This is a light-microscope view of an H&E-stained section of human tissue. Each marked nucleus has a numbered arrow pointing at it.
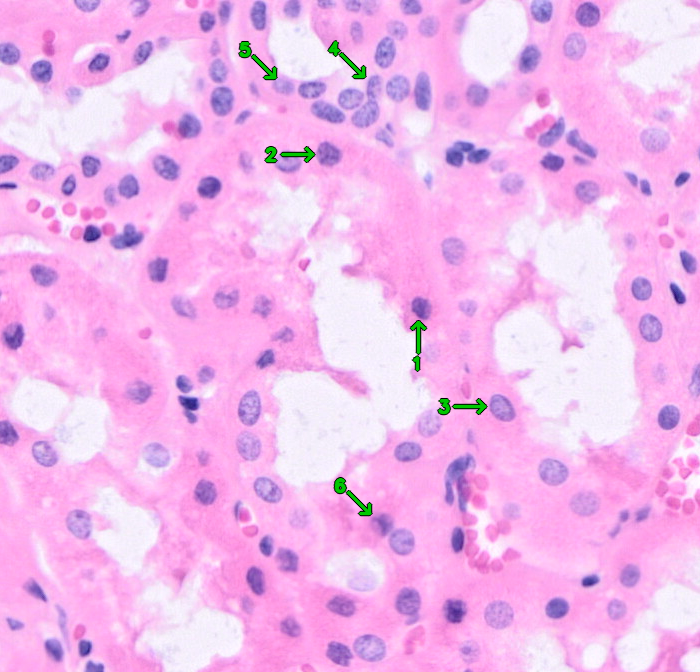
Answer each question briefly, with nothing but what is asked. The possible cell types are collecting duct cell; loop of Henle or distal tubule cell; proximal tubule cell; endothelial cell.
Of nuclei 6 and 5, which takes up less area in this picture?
5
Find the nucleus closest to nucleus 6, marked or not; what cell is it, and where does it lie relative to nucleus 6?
a proximal tubule cell, below and to the right of nucleus 6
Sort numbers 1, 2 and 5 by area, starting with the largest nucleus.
2, 1, 5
